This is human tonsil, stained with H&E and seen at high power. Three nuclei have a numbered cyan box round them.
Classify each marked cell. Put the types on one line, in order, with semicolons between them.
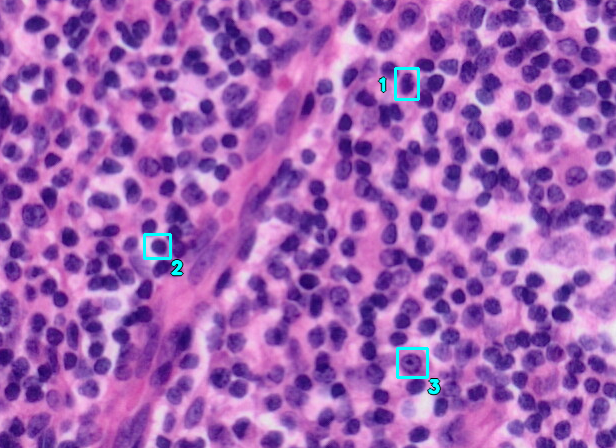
small lymphocyte; small lymphocyte; plasma cell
